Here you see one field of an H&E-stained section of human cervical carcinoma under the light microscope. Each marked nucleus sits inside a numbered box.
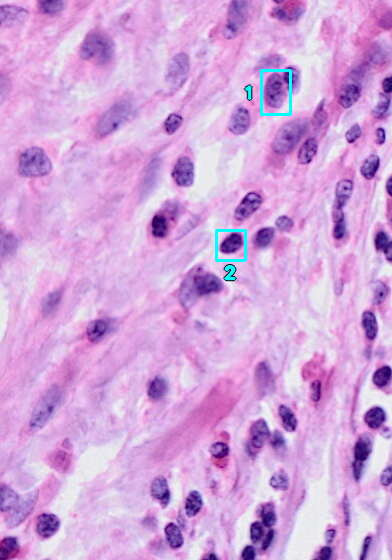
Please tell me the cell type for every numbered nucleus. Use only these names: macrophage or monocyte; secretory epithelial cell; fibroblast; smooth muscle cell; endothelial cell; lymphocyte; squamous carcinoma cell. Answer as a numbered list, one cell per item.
1. macrophage or monocyte
2. lymphocyte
